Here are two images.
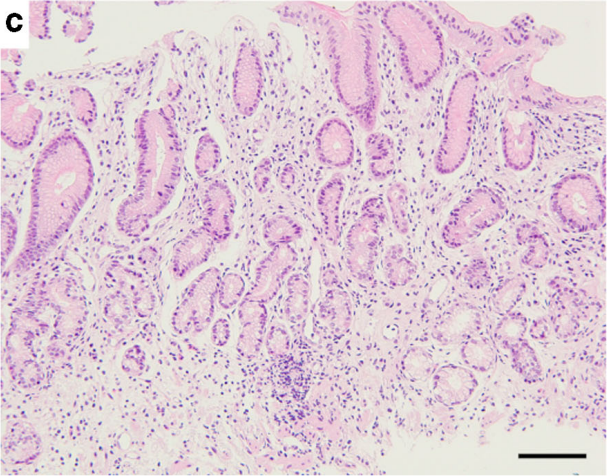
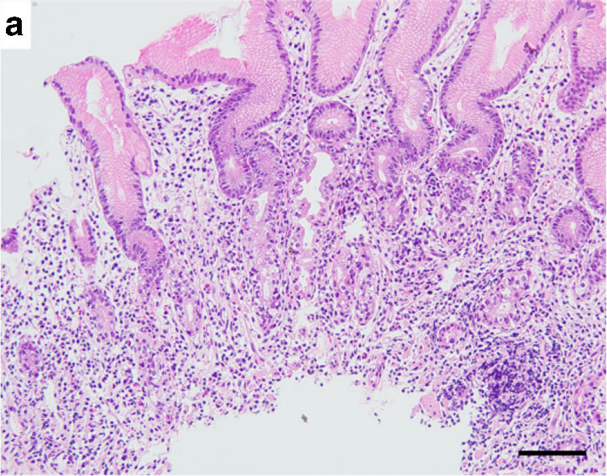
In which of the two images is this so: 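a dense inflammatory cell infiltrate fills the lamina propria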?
The second image.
